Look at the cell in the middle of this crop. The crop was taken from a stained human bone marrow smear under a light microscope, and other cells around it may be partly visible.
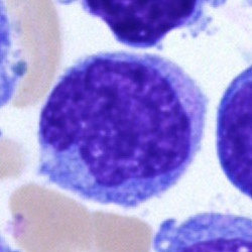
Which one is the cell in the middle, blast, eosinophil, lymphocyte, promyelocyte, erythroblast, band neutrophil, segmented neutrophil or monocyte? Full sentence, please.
The crop's centre is taken up by a monocyte.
